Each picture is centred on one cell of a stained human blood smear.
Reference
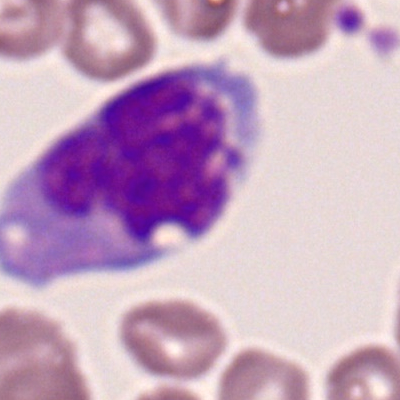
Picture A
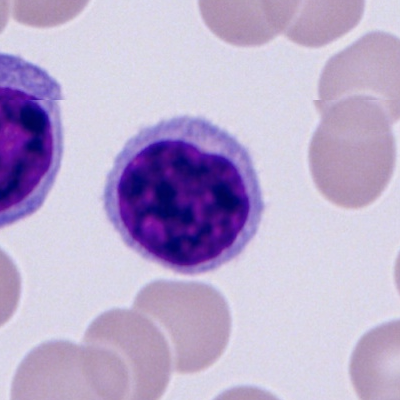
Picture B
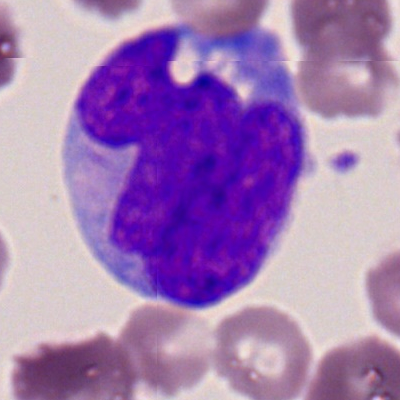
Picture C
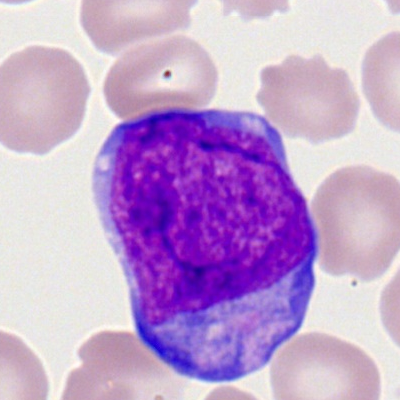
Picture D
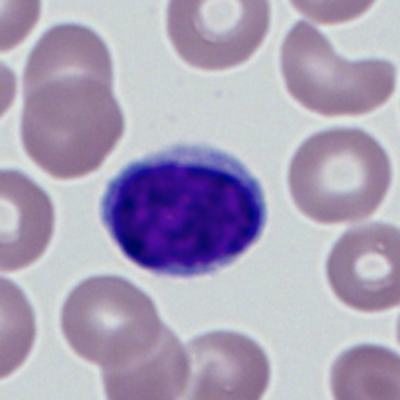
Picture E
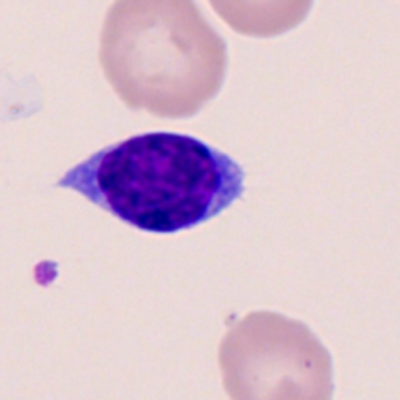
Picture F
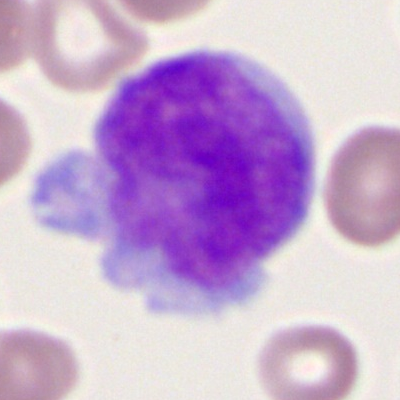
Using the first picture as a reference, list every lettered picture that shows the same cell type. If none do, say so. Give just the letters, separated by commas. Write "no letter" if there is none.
B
